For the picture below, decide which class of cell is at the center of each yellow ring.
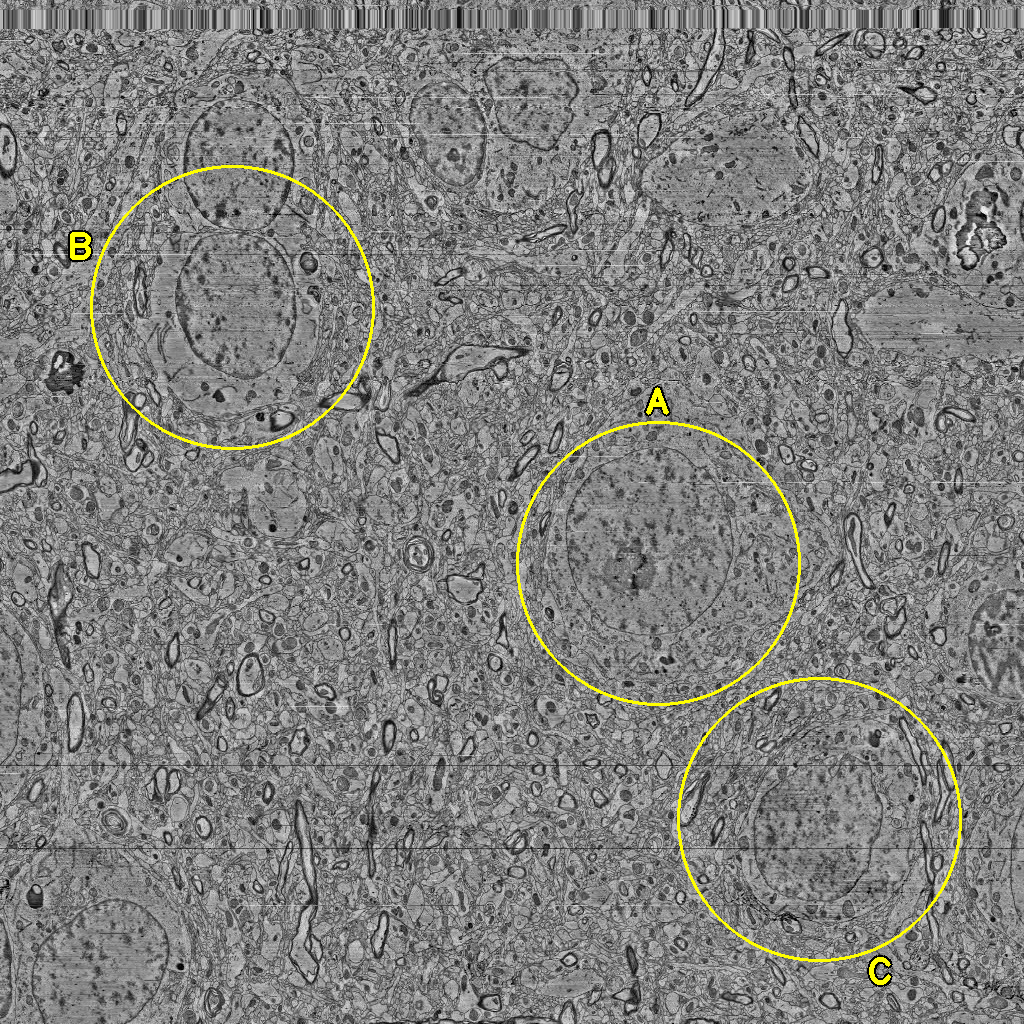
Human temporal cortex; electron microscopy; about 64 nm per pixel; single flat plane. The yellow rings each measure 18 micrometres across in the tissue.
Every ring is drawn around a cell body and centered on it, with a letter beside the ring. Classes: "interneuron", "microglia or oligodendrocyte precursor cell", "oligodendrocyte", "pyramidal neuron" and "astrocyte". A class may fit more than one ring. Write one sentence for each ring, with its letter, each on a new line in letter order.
Centered in ring A is a pyramidal neuron.
Centered in ring B is an astrocyte.
Centered in ring C is a pyramidal neuron.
